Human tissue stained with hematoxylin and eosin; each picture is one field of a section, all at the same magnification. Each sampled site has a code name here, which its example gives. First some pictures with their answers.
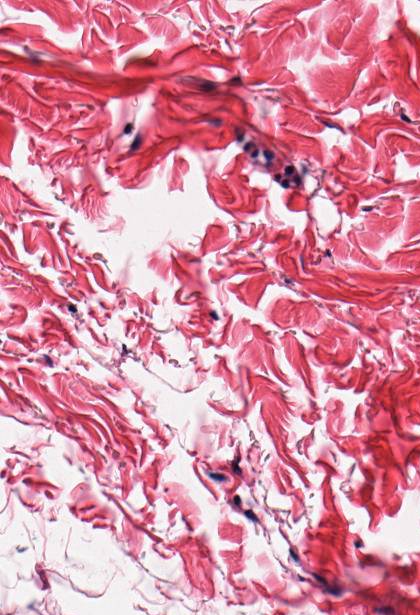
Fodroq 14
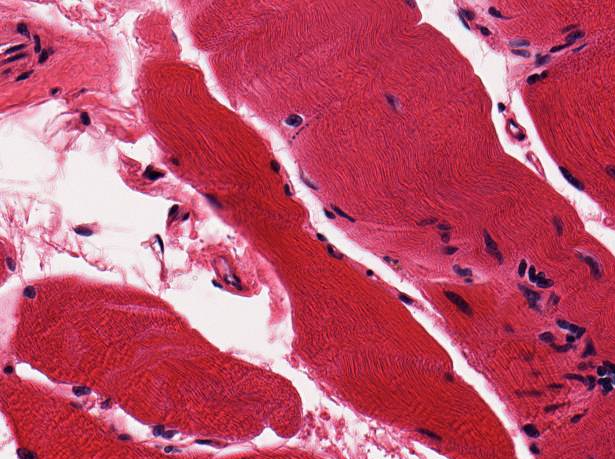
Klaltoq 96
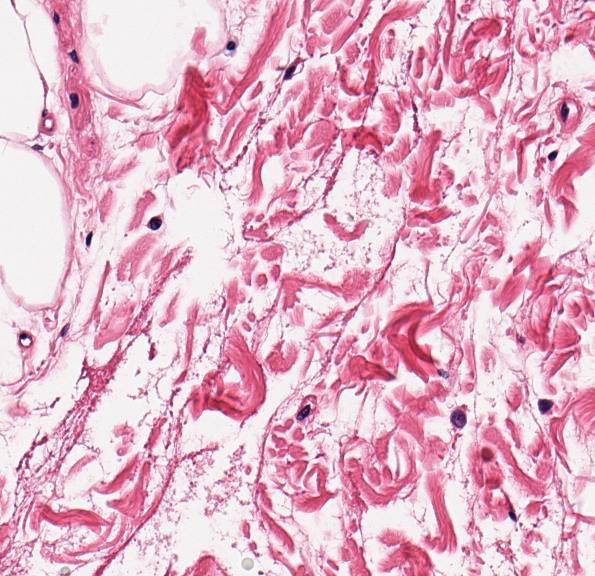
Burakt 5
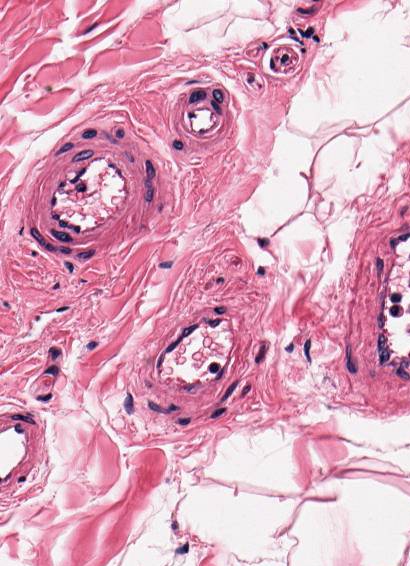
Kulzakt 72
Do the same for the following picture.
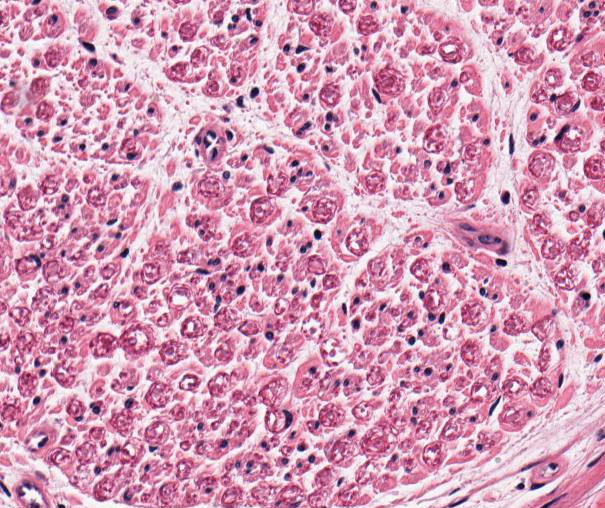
Kulzakt 72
